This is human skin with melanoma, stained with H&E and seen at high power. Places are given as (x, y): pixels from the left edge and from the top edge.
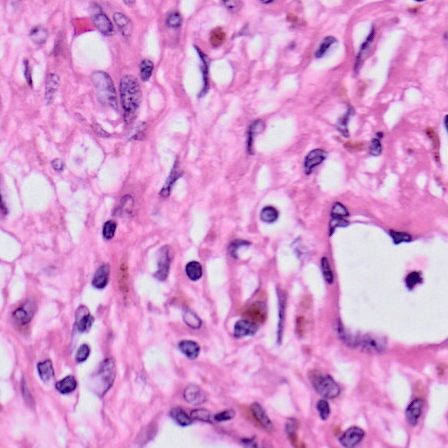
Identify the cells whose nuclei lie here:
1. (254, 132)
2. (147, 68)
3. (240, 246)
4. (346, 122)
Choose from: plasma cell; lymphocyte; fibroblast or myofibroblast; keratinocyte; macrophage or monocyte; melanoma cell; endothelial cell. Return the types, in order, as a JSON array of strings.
["fibroblast or myofibroblast", "lymphocyte", "fibroblast or myofibroblast", "fibroblast or myofibroblast"]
